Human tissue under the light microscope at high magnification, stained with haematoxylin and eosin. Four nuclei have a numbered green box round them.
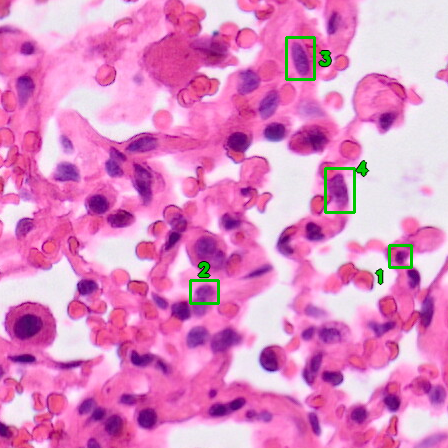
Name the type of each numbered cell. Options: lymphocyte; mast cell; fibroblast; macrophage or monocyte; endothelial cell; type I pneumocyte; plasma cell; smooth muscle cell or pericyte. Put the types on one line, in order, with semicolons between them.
endothelial cell; type I pneumocyte; type I pneumocyte; type I pneumocyte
